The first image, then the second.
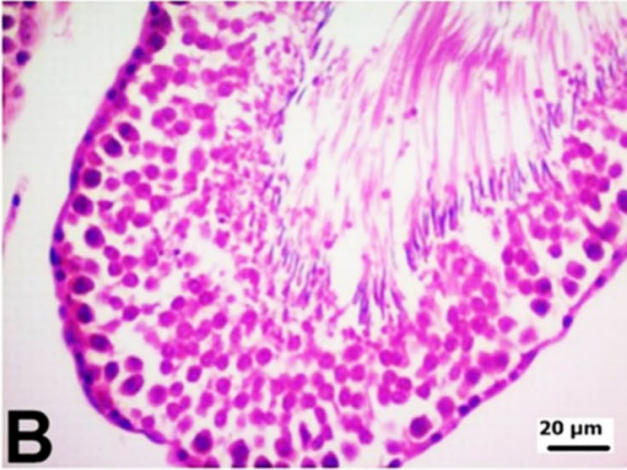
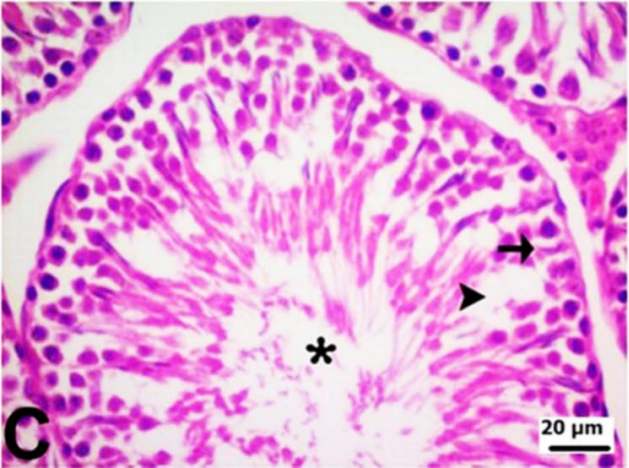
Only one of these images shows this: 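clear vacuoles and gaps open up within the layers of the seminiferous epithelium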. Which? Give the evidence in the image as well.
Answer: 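The second image. Second image: many empty white spaces lie between the cells and bundles of the epithelium.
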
